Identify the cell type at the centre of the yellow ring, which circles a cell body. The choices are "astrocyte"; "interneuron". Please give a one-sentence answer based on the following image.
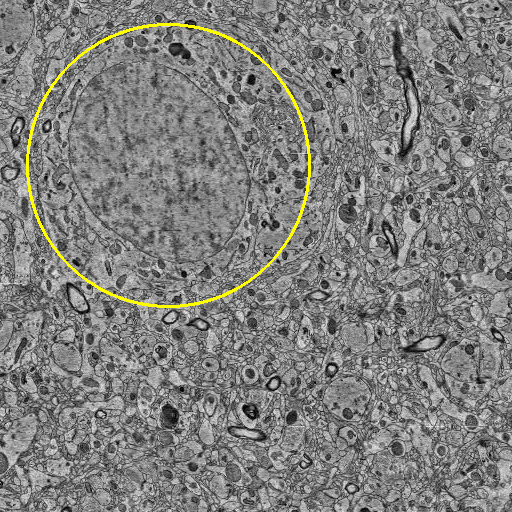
The cell marked by the ring is an interneuron.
